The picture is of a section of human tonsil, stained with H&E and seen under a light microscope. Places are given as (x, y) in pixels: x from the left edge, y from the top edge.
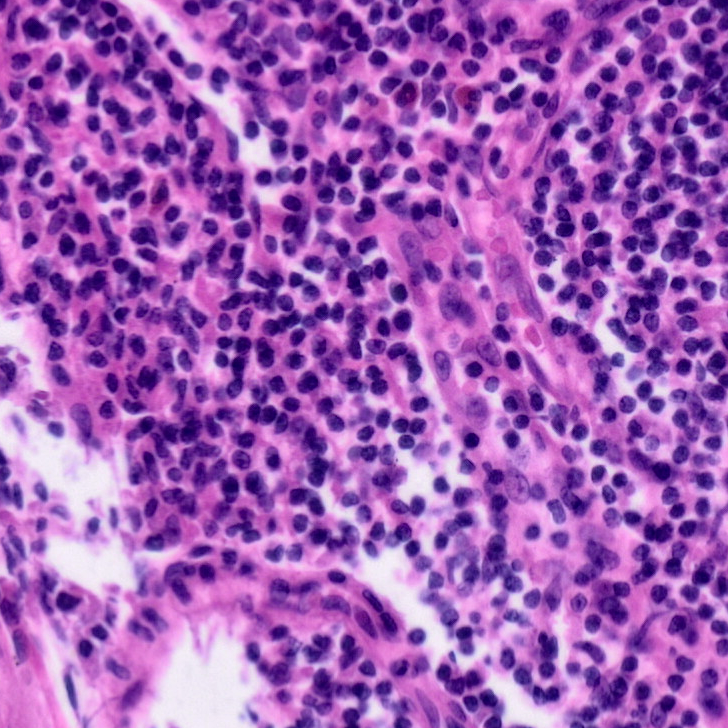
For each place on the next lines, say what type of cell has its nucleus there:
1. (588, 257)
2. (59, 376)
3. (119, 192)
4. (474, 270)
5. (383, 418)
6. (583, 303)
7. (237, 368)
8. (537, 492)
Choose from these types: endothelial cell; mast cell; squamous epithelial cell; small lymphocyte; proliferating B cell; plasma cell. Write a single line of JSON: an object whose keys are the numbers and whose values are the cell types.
{"1": "small lymphocyte", "2": "endothelial cell", "3": "small lymphocyte", "4": "endothelial cell", "5": "small lymphocyte", "6": "small lymphocyte", "7": "small lymphocyte", "8": "endothelial cell"}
